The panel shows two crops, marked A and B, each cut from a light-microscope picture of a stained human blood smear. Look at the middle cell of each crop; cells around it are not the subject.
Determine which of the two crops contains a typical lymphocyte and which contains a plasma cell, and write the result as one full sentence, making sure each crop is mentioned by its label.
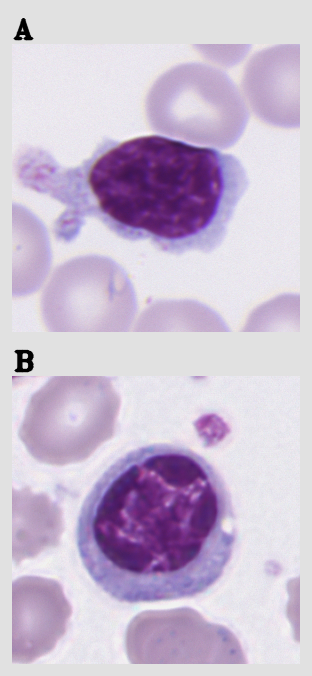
In crop A the cell is a typical lymphocyte, while in crop B it is a plasma cell.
